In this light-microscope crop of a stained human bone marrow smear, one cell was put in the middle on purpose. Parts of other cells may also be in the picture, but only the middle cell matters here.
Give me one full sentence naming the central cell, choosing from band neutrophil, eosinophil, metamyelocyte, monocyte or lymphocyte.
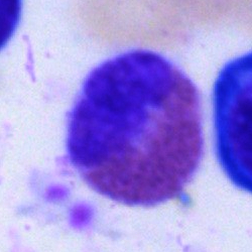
The cell at the centre of the field is an eosinophil.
